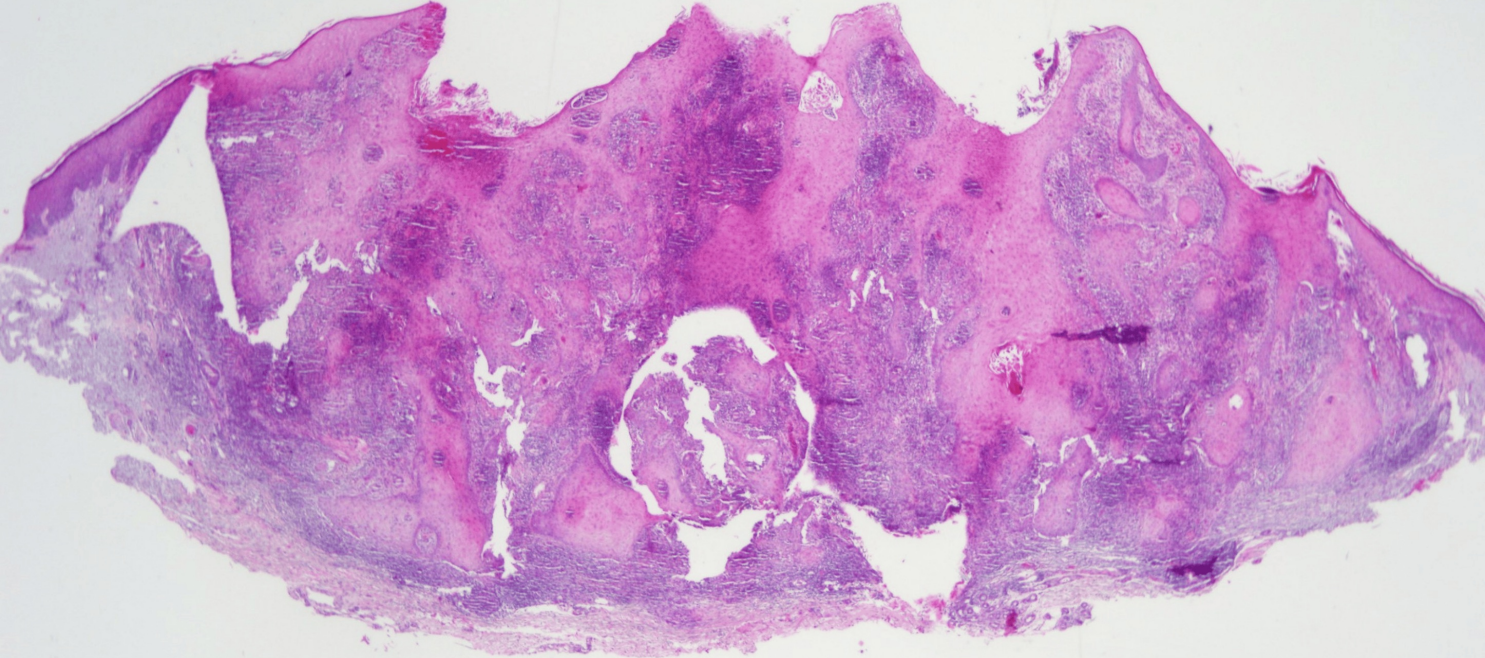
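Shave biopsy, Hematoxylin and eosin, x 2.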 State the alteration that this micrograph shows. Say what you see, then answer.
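Epidermal hyperplasia. The epidermis is greatly thickened compared with the thin epidermis at the far left edge. Broad, irregular pink squamous epithelial masses extend deep into the dermis.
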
